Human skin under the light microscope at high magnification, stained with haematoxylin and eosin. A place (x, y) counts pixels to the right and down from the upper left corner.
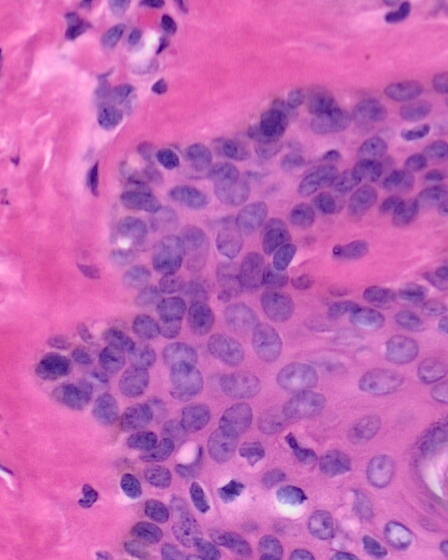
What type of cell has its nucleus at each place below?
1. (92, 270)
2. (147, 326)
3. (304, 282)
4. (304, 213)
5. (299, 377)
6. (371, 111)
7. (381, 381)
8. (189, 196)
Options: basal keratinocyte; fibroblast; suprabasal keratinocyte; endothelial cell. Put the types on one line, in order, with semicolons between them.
fibroblast; basal keratinocyte; basal keratinocyte; basal keratinocyte; suprabasal keratinocyte; basal keratinocyte; suprabasal keratinocyte; basal keratinocyte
